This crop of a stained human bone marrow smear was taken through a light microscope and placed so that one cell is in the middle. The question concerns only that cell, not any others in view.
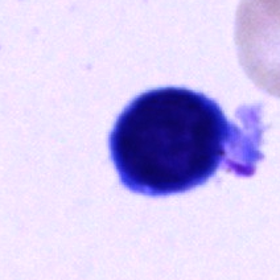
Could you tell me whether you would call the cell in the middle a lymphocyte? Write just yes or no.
yes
